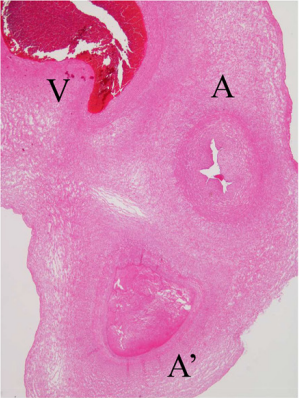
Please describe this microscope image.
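This is a transverse section of an umbilical cord, with three vessels embedded in a loose, pale pink connective tissue matrix. At the top left lies a large vessel with a thin wall whose lumen is filled with red blood. To its right is a round artery with a thick, concentric muscular wall and a narrow, star-shaped empty lumen. Below lies a second thick-walled artery whose lumen is filled with homogeneous pink material rather than being open. The surrounding matrix is sparsely cellular and extends to the smooth outer surface of the cord.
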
